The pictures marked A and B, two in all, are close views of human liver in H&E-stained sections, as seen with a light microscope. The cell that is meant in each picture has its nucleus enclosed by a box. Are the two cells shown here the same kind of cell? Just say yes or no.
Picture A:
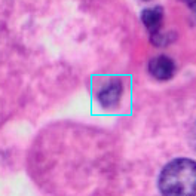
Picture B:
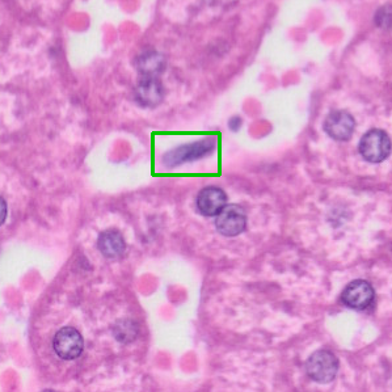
yes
